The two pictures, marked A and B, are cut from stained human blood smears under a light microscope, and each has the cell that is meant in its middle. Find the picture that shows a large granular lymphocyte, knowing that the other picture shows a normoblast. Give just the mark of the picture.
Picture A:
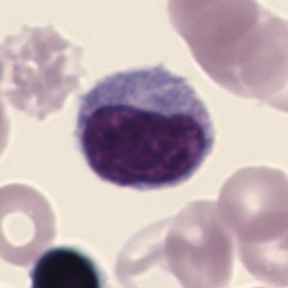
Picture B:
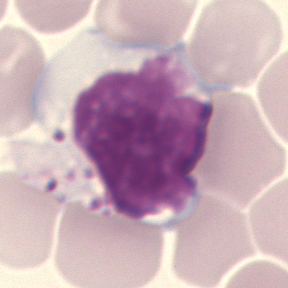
B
